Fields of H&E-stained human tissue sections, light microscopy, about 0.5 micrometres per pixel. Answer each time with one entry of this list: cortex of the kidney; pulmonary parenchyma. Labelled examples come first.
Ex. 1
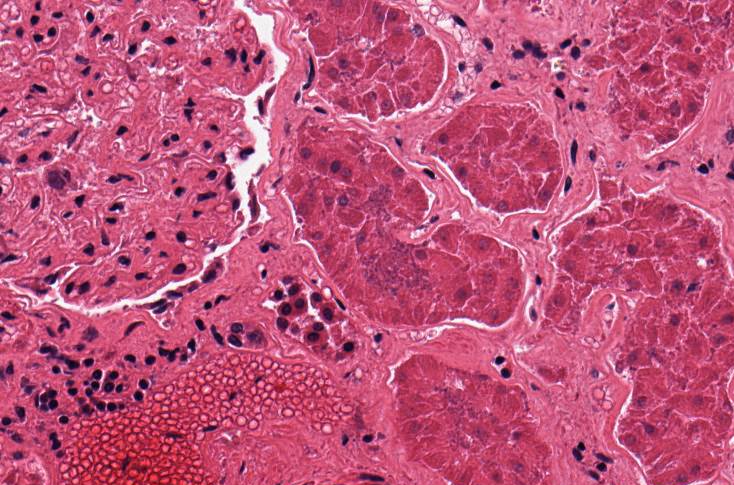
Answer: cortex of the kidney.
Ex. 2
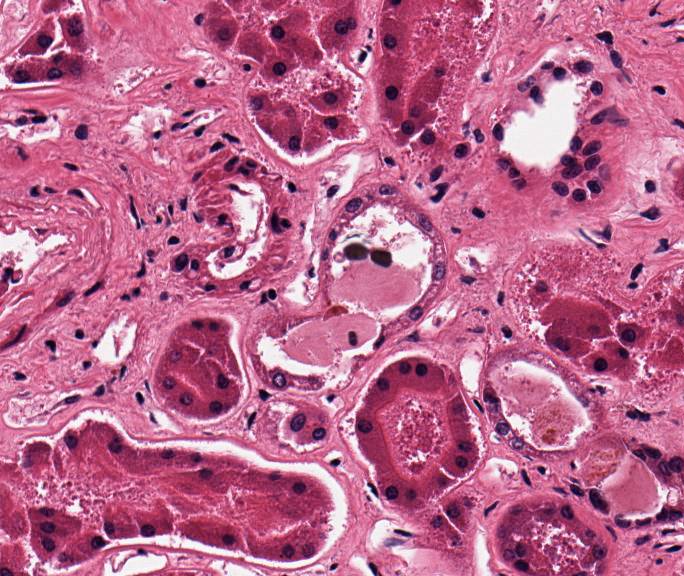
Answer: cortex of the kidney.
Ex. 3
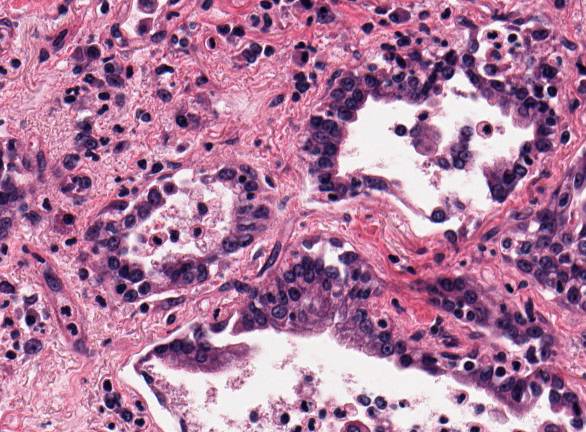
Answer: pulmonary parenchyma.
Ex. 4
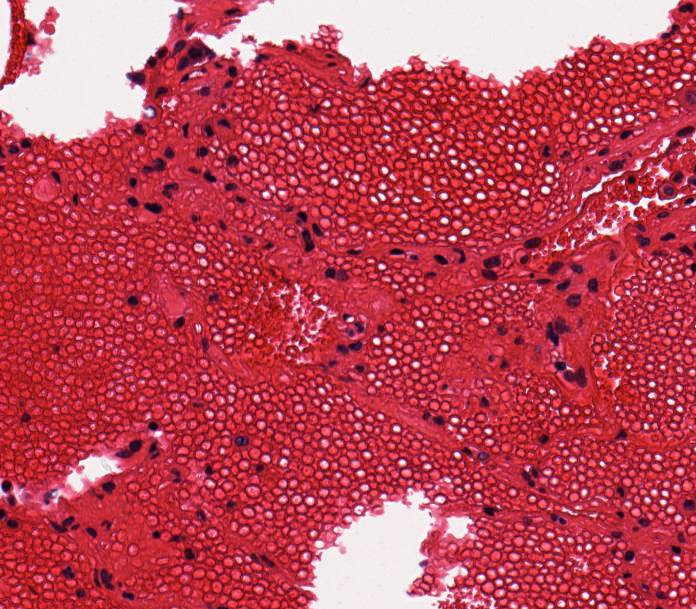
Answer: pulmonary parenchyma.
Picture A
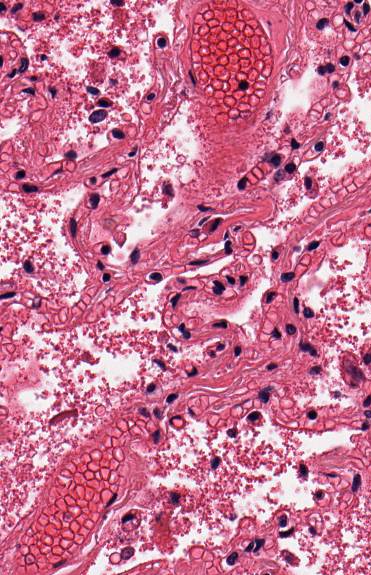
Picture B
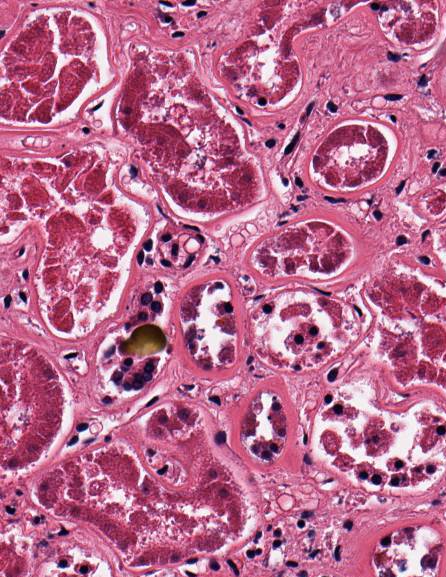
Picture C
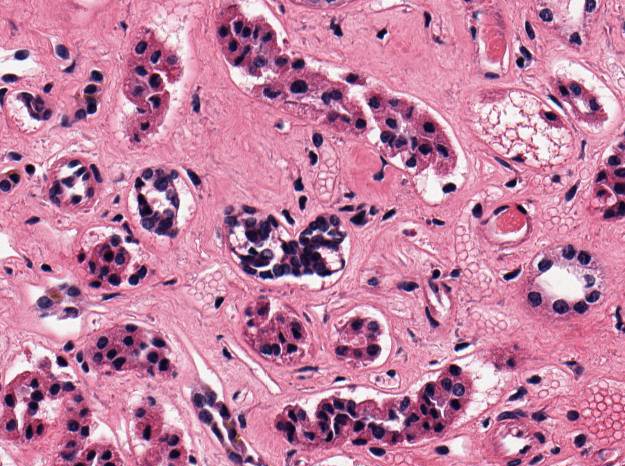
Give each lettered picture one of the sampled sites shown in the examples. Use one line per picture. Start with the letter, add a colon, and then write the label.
A: pulmonary parenchyma.
B: cortex of the kidney.
C: cortex of the kidney.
